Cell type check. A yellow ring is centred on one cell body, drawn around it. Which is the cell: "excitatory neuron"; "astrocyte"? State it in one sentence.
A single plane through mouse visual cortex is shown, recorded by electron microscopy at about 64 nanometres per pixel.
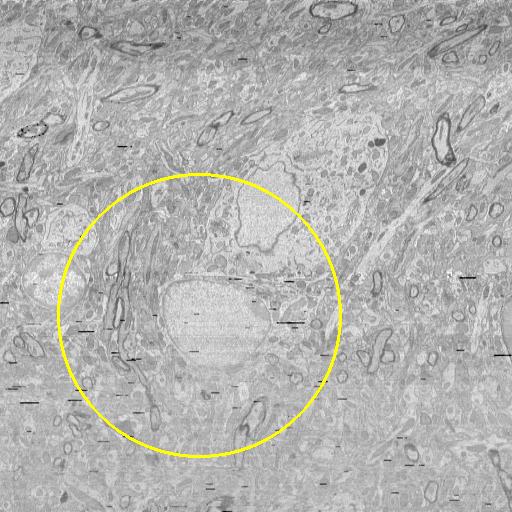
The cell body at the ring's centre belongs to an astrocyte.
